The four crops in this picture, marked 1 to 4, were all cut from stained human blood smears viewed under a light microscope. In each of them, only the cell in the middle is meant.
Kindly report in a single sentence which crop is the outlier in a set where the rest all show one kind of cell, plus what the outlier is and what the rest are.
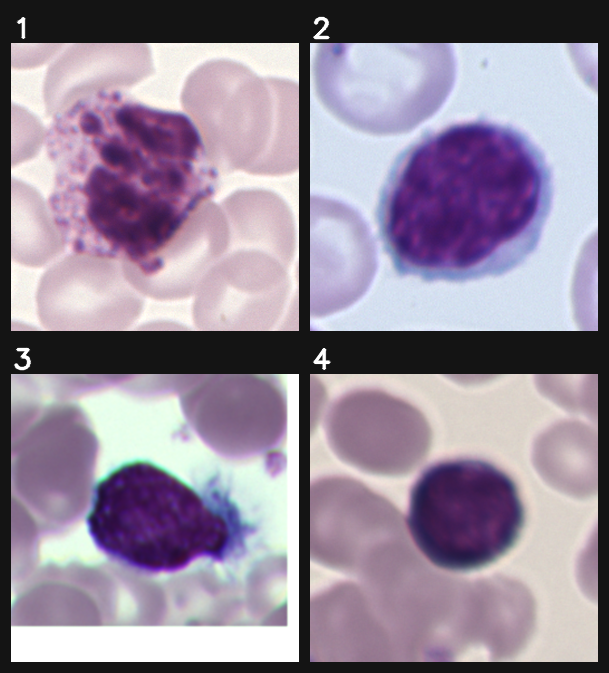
All the crops contain typical lymphocytes save crop 1, where there is a basophil.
